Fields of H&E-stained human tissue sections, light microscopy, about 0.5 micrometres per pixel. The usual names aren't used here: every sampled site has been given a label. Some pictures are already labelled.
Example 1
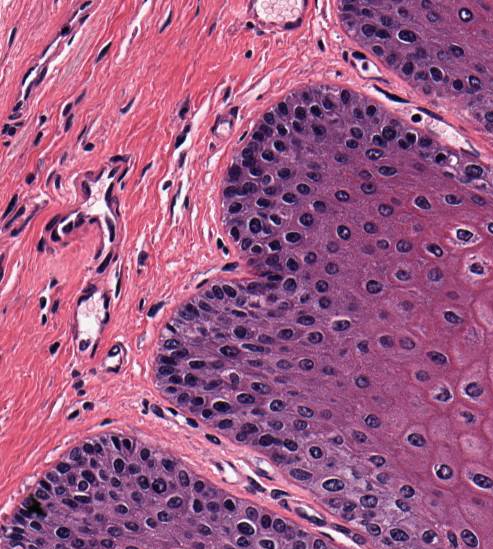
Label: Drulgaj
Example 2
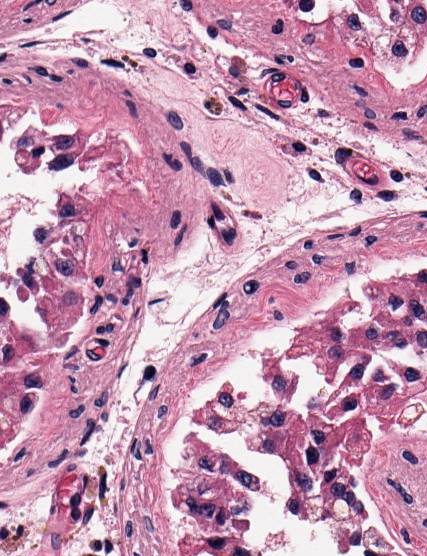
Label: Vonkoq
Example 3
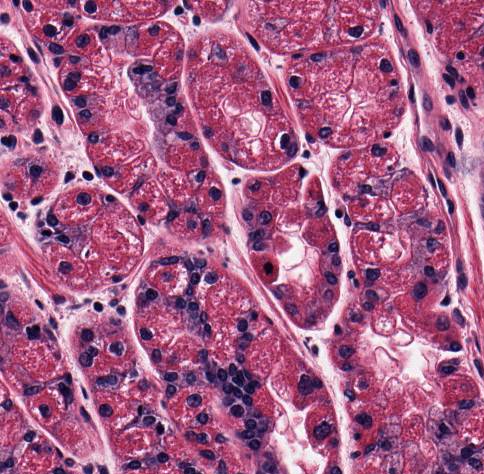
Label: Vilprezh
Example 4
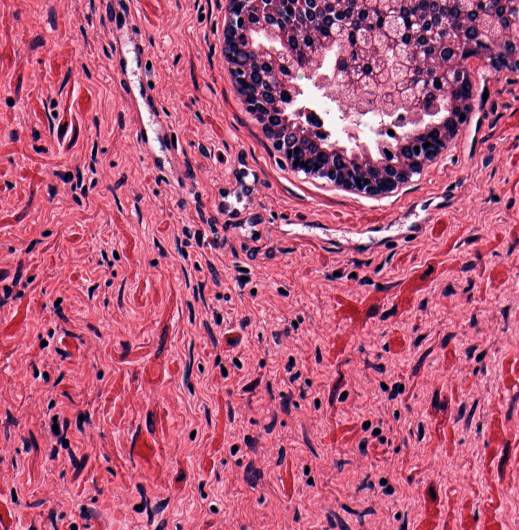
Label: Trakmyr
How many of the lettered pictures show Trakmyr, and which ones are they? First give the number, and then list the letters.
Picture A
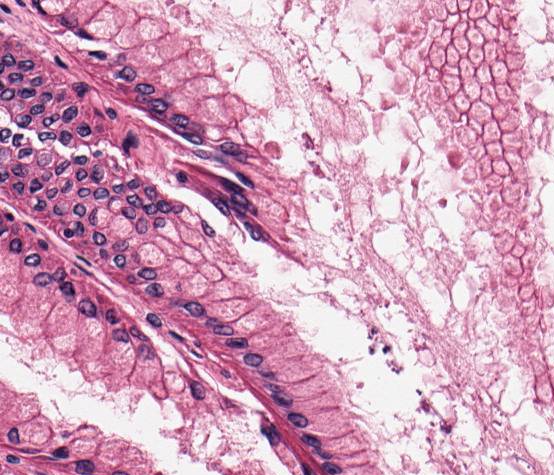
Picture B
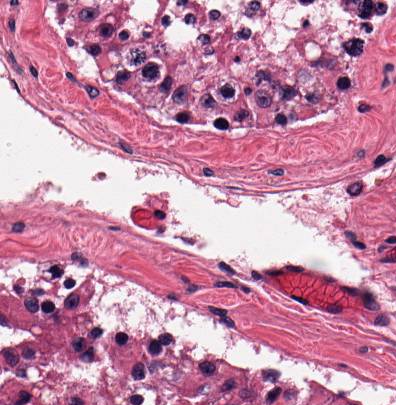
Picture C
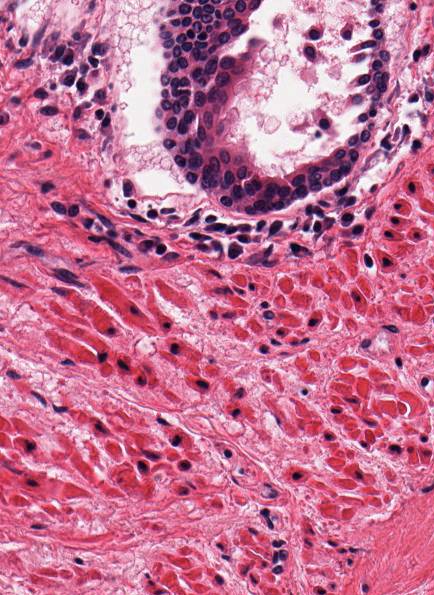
0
